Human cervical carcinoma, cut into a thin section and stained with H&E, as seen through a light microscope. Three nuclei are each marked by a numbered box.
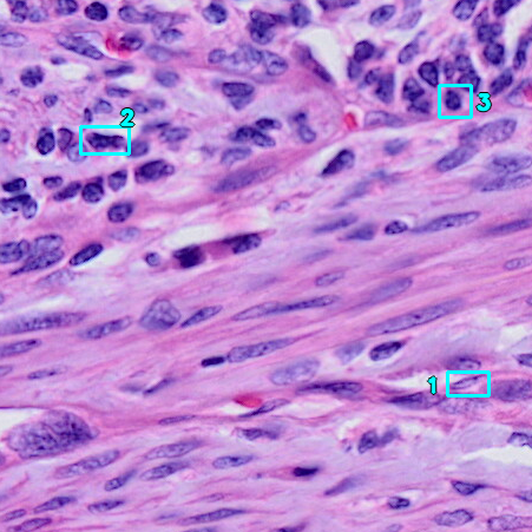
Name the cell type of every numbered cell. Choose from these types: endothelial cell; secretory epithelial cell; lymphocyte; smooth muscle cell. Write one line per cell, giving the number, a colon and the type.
1: endothelial cell
2: lymphocyte
3: lymphocyte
